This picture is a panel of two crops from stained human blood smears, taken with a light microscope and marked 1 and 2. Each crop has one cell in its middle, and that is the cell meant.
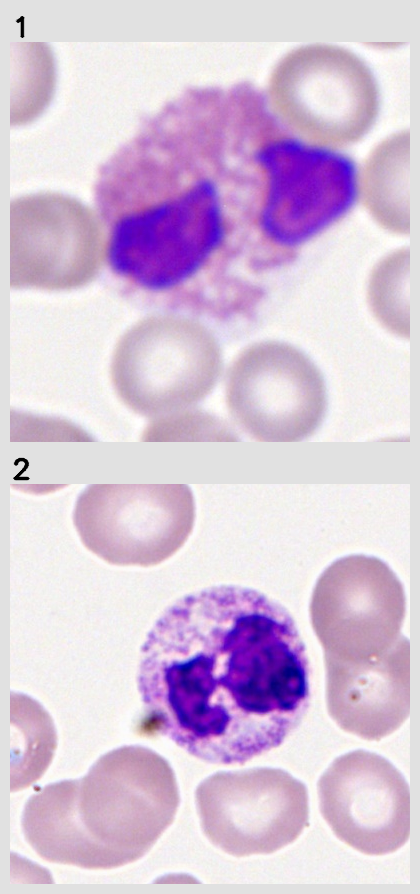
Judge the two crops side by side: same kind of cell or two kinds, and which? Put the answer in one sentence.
No, the labels go like this: crop 1 is an eosinophil and crop 2 is a segmented neutrophil.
